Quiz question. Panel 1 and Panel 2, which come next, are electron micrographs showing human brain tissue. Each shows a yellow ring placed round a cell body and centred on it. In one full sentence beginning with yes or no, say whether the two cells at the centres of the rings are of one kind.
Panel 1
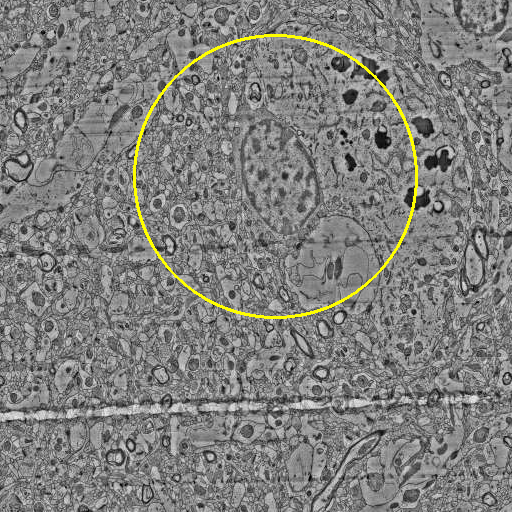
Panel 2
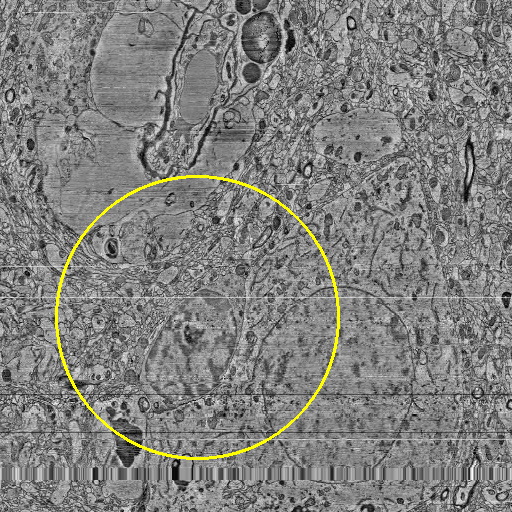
Yes, Panel 1 and Panel 2 show one kind of cell at the centre of the ring.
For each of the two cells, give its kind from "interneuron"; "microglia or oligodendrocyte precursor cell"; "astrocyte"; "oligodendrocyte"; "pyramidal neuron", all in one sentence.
Both the first and the second picture show an oligodendrocyte in the ring.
